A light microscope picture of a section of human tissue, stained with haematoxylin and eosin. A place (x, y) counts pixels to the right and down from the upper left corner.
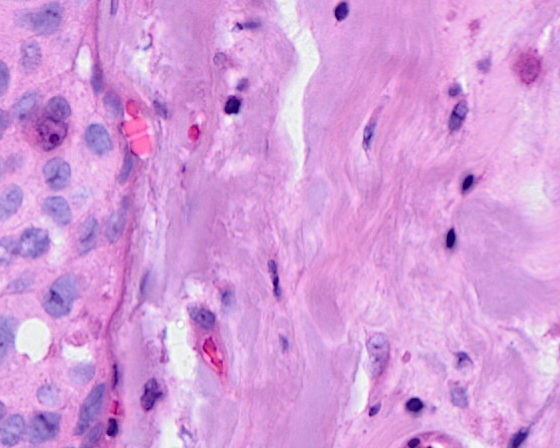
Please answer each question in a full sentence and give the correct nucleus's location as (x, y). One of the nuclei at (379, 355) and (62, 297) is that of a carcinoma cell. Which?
Of these two nuclei, it is the one at (62, 297) that belongs to a carcinoma cell.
